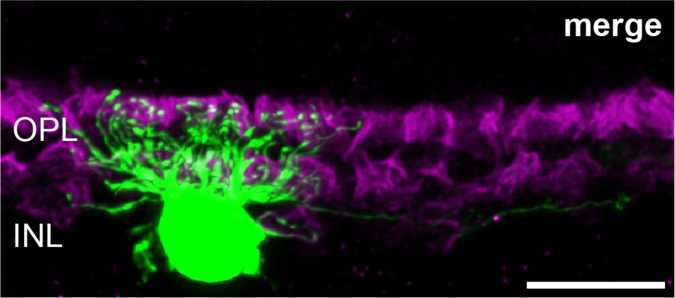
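A single horizontal cell of the retina is filled in green, its round cell body lying in the inner nuclear layer just beneath the outer plexiform layer. From the top of the cell body a dense, narrow tuft of many fine dendrites rises and fans into the outer plexiform layer, ending in small knob-like tips. A single very thin process leaves the cell and runs horizontally far to one side, beaded along its course. The outer plexiform layer above is marked by magenta cup-shaped photoreceptor terminal profiles arranged in a band, several tiers deep. The green dendritic tips intermingle with the magenta terminals.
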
